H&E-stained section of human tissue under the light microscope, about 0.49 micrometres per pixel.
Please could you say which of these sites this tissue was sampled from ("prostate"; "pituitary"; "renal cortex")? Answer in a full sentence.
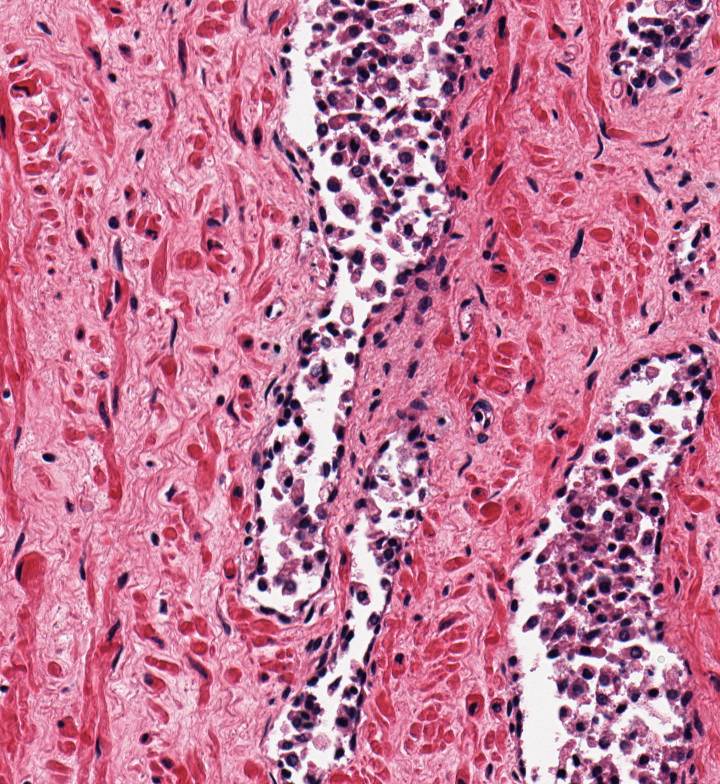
The site this tissue was sampled from is the prostate.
